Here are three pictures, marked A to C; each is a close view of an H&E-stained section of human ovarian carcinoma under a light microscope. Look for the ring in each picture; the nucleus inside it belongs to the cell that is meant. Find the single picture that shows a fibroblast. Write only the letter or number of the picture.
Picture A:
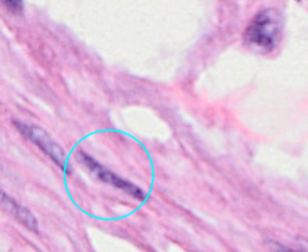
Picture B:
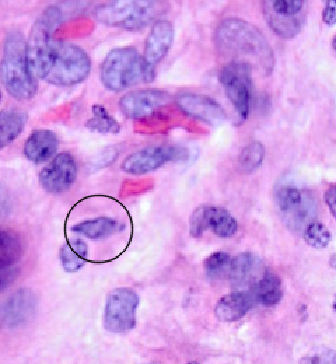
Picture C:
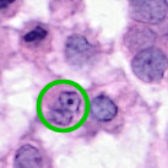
A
